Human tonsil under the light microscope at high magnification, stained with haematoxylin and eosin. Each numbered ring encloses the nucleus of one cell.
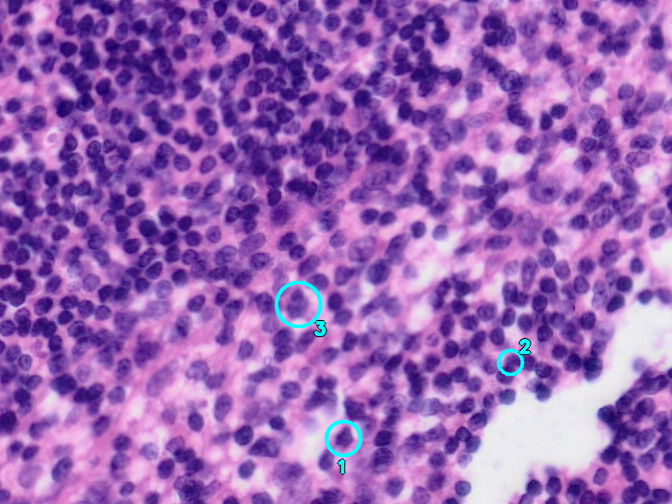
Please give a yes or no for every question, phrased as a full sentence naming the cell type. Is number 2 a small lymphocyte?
Yes, kindly take note: the cell numbered 2 is a small lymphocyte.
